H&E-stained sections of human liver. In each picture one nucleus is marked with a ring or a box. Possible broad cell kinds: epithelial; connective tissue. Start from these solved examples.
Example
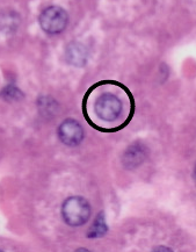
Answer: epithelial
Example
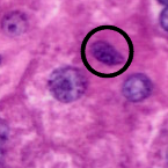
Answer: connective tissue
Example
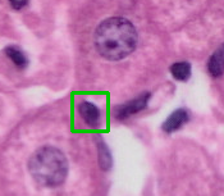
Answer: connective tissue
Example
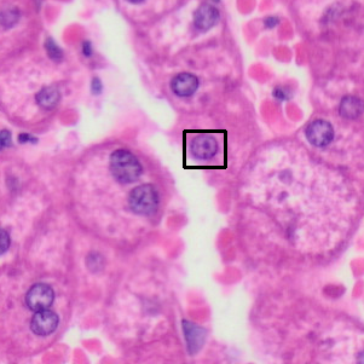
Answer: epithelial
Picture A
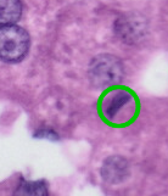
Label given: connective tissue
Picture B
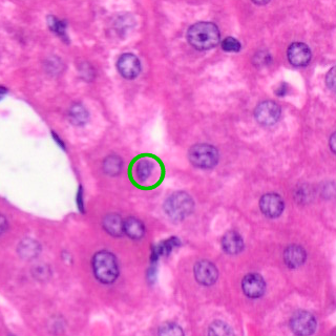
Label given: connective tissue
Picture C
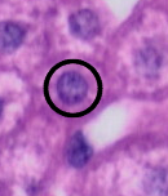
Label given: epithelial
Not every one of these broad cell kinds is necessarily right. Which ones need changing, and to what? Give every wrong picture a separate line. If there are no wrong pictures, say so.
No label is wrong.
